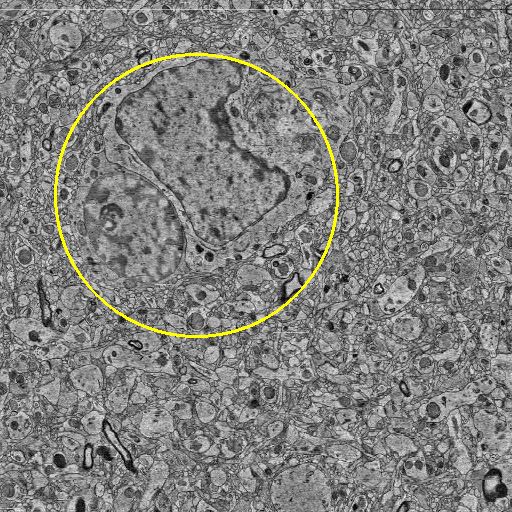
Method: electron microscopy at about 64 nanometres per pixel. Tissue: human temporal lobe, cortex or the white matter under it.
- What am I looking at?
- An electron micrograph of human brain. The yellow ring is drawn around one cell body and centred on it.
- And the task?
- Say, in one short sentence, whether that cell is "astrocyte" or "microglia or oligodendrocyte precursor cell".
The cell in the middle of the ring is a microglial cell or oligodendrocyte precursor cell.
